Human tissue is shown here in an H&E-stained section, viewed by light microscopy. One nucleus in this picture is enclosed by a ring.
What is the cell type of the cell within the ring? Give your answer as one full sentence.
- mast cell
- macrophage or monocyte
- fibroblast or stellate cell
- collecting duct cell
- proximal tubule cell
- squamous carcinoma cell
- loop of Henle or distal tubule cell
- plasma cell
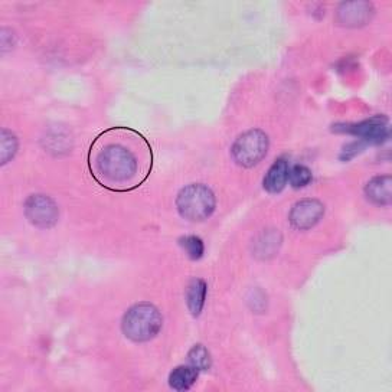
As a matter of cell type, the cell within the ring is a proximal tubule cell.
